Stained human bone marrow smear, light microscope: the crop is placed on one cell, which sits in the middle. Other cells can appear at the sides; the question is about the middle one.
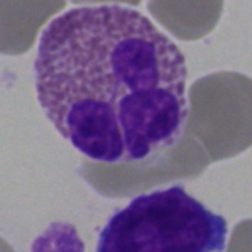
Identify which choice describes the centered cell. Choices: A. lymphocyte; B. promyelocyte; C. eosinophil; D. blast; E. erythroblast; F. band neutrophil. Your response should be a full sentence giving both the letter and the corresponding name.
The one cell at the centre is an eosinophil, as correctly stated in option C.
